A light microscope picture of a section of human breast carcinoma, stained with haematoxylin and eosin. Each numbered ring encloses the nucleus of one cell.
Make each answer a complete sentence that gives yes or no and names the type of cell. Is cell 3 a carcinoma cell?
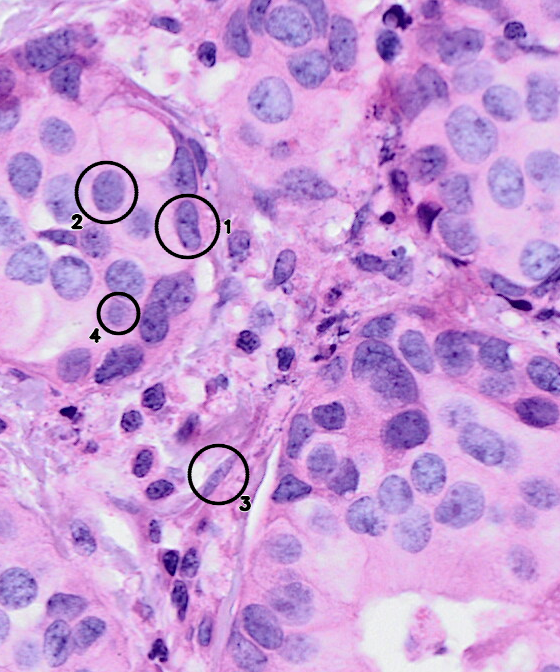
No, the cell with number 3 is not a carcinoma cell but a fibroblast.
